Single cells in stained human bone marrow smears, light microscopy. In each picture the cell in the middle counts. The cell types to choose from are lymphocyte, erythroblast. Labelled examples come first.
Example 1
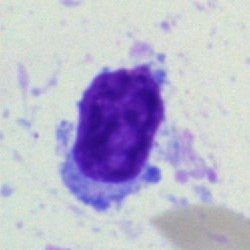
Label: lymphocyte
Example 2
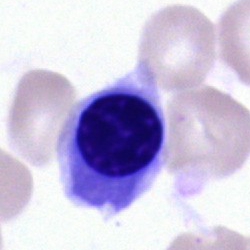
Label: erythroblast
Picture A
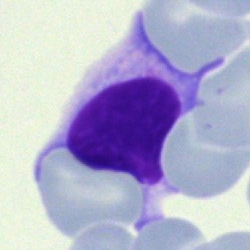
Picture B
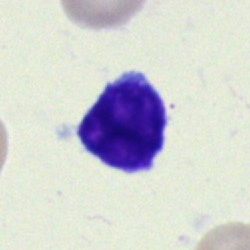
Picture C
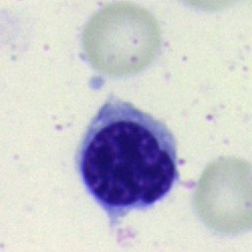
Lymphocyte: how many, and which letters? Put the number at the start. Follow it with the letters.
2: A, B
